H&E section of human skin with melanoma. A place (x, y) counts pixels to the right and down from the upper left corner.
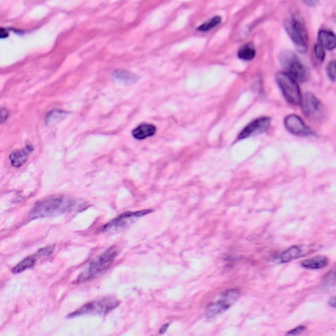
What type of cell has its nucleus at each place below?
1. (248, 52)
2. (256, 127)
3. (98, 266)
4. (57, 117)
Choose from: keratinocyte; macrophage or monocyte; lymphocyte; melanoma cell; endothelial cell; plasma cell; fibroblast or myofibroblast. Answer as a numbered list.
1. lymphocyte
2. fibroblast or myofibroblast
3. fibroblast or myofibroblast
4. fibroblast or myofibroblast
